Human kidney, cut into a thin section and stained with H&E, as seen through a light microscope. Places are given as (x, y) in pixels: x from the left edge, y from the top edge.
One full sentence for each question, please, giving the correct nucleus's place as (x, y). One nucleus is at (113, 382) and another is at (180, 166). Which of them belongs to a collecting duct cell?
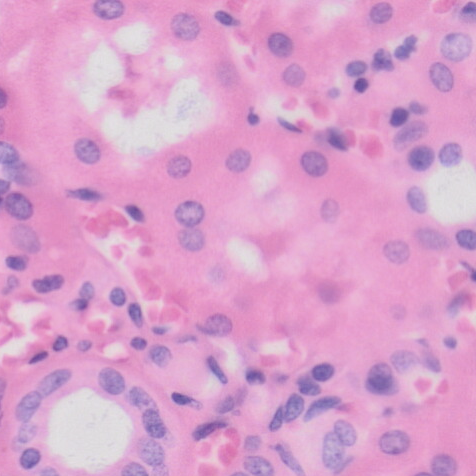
Out of the two, it is the nucleus at (113, 382) that belongs to a collecting duct cell.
